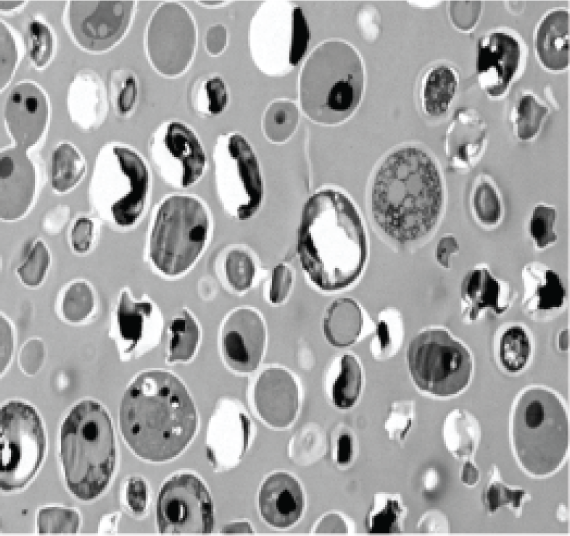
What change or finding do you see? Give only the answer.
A: lost integrity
